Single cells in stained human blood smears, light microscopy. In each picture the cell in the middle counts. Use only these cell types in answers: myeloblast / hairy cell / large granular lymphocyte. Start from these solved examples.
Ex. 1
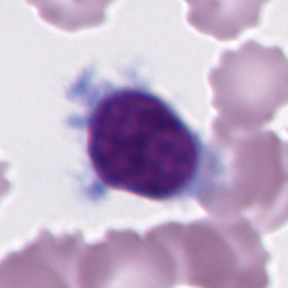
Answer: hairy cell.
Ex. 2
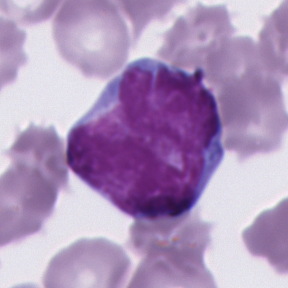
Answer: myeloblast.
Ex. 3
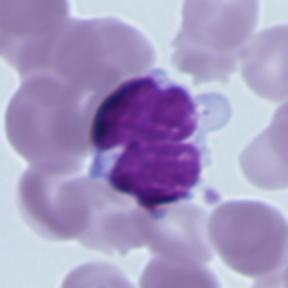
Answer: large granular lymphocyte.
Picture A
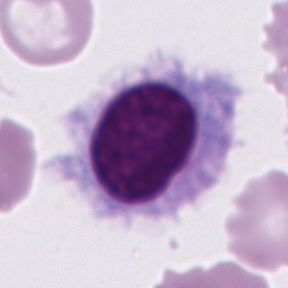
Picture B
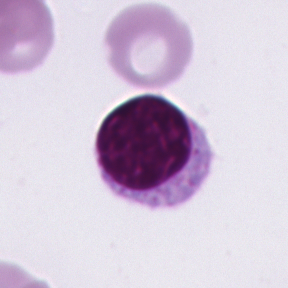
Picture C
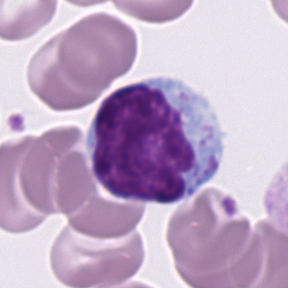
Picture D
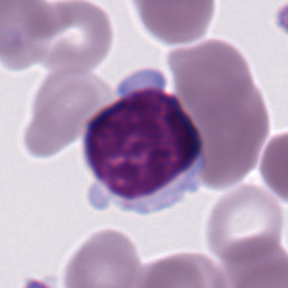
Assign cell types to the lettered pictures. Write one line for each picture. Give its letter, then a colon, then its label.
A: hairy cell.
B: large granular lymphocyte.
C: large granular lymphocyte.
D: large granular lymphocyte.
